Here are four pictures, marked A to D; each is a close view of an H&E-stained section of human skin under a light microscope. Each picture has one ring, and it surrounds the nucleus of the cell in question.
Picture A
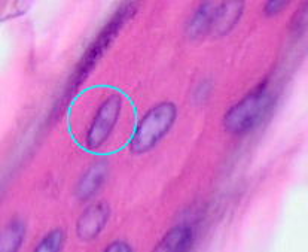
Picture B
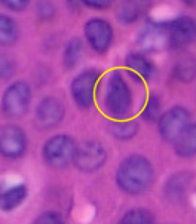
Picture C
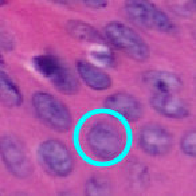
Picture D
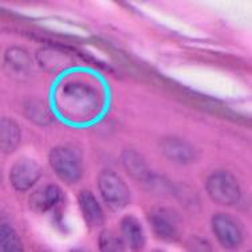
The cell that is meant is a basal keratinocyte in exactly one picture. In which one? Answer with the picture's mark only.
B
